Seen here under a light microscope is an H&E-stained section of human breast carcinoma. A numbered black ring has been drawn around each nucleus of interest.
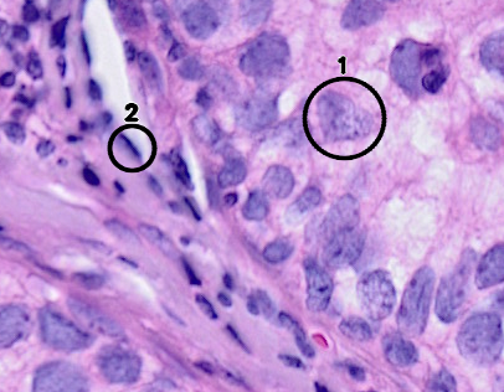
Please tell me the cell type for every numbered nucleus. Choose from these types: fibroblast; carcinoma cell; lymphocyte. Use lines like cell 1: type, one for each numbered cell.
cell 1: carcinoma cell
cell 2: lymphocyte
